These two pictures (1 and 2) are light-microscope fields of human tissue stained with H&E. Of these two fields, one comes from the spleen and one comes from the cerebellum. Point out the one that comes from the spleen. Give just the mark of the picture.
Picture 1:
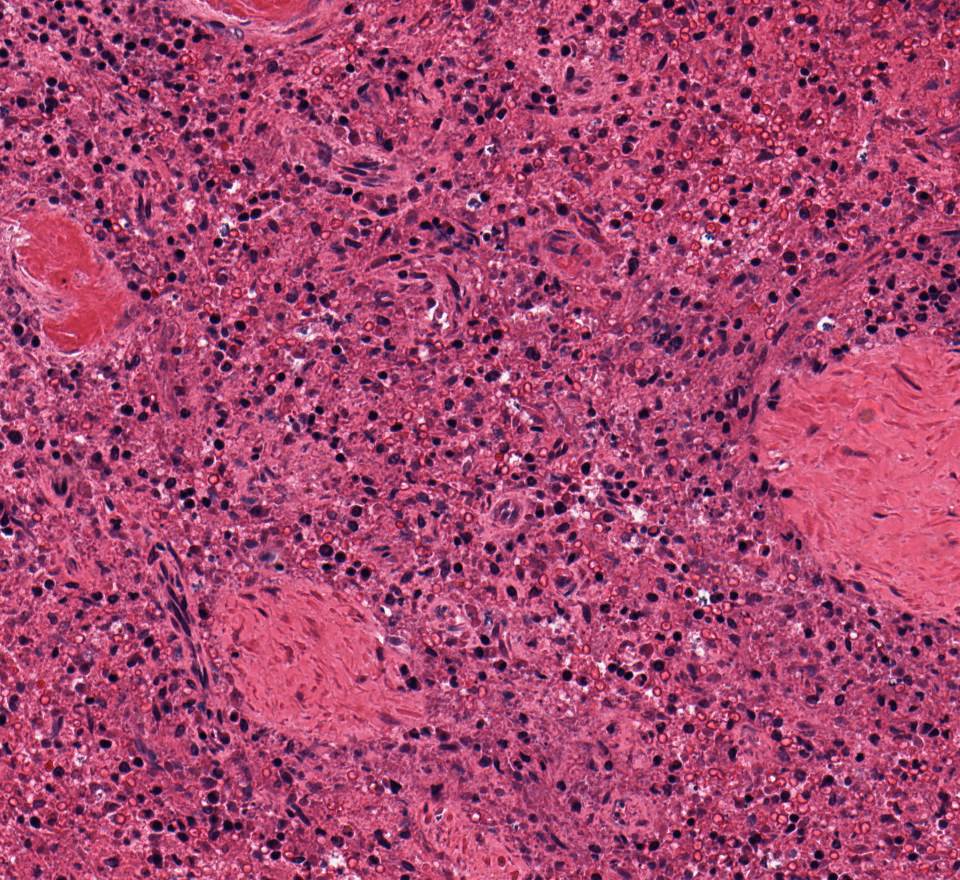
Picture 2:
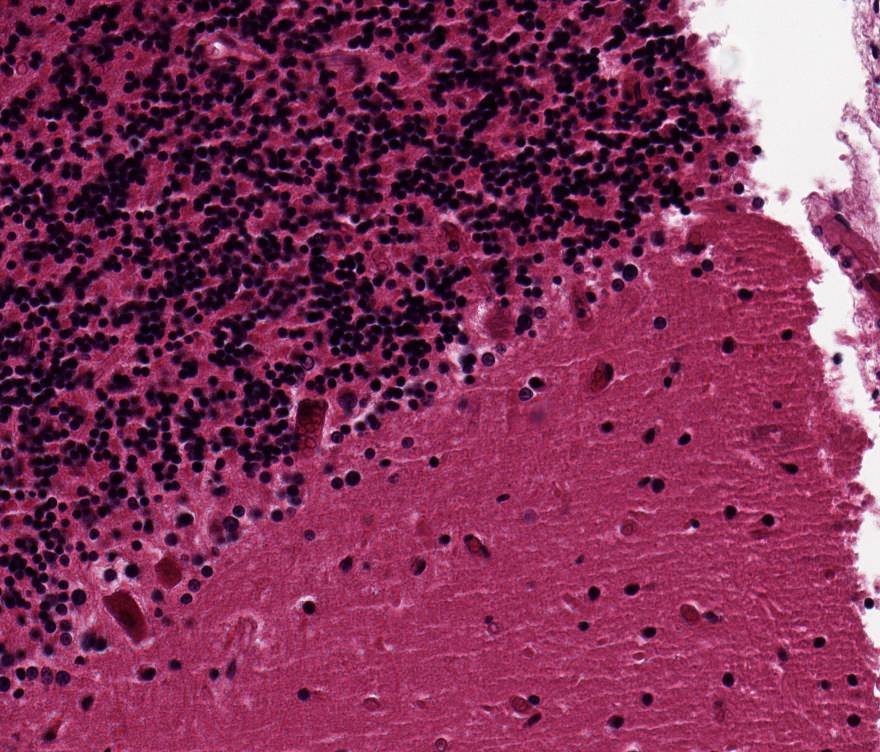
1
